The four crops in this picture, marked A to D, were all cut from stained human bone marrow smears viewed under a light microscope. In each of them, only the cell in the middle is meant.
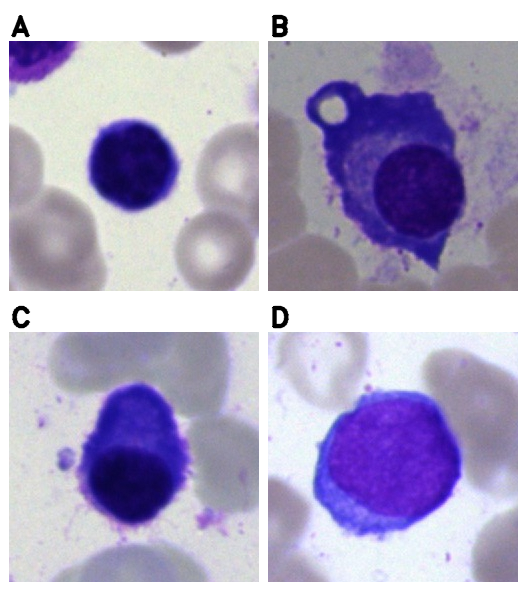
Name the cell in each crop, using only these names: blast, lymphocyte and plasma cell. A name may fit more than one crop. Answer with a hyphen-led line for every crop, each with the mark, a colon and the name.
- A: lymphocyte
- B: plasma cell
- C: plasma cell
- D: blast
